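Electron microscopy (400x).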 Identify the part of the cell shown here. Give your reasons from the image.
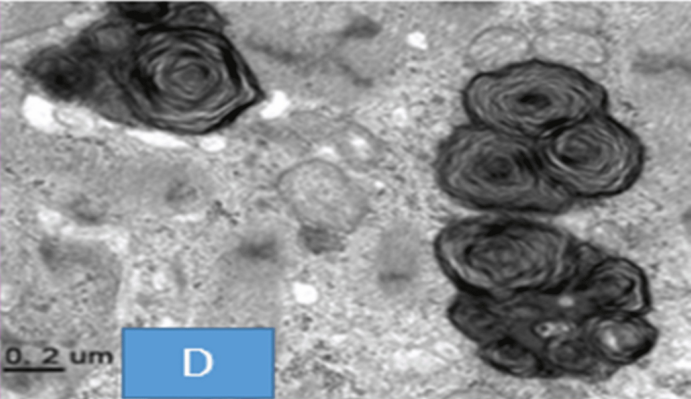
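Dark, round bodies made of concentric layered membranes. The layered bodies lie in clusters within the granular cytoplasm.
Hence: inclusion bodies.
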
